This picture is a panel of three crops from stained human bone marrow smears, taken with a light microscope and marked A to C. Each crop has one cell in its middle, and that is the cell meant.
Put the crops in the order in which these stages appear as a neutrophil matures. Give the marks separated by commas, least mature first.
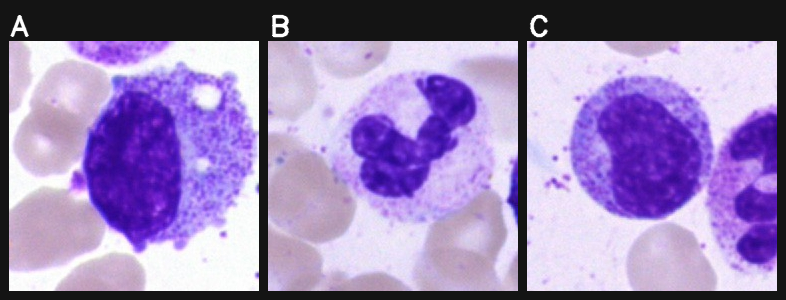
A, C, B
